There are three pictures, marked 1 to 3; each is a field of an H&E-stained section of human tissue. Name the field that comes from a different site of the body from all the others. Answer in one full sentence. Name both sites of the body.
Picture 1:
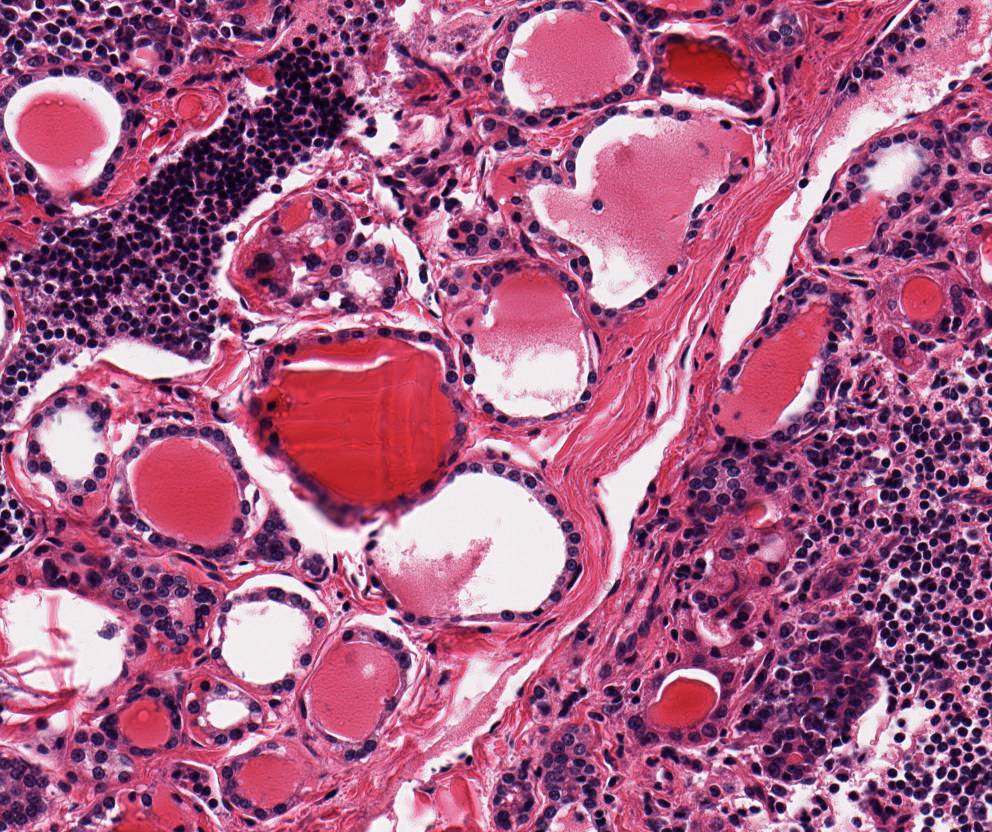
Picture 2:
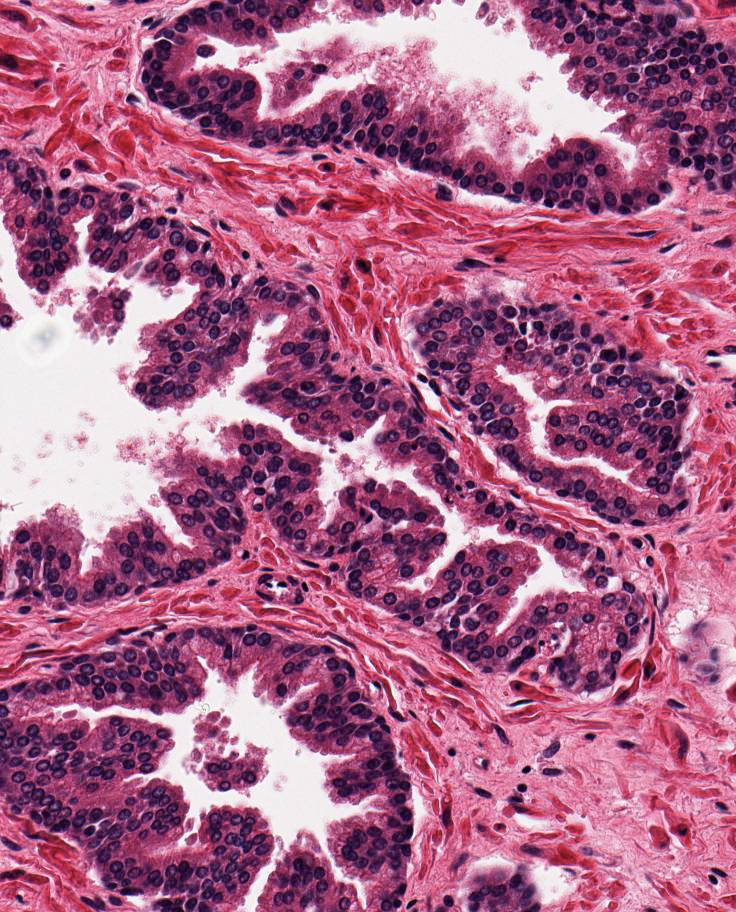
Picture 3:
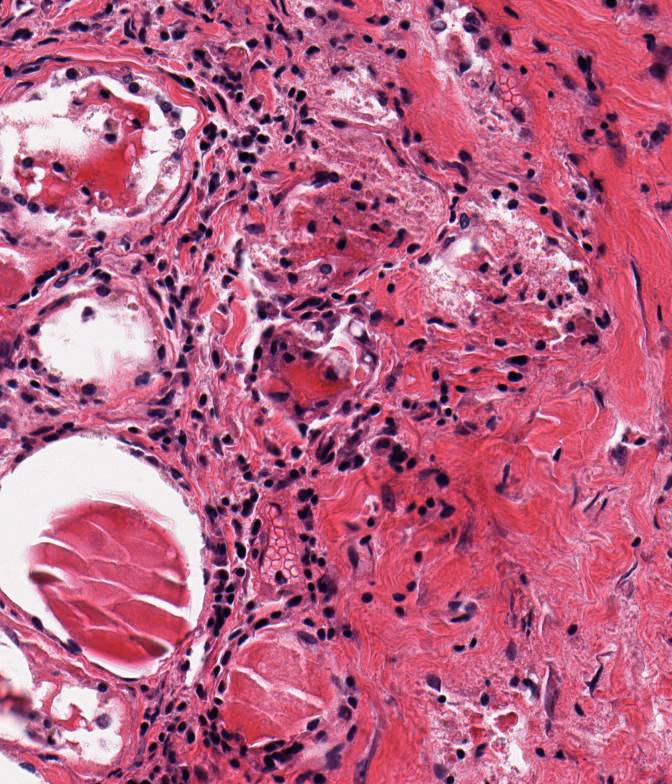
Unlike the rest, which come from the thyroid, picture 2 comes from the prostate.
